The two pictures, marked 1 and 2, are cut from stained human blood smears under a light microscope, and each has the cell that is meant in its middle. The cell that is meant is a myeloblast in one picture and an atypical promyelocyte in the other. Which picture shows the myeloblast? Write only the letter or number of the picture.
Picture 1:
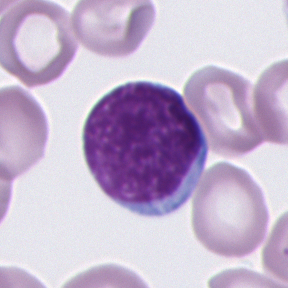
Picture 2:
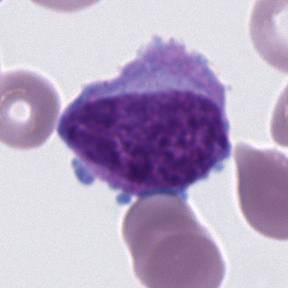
1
